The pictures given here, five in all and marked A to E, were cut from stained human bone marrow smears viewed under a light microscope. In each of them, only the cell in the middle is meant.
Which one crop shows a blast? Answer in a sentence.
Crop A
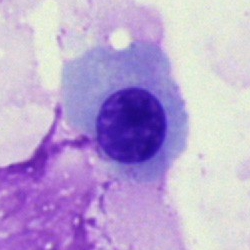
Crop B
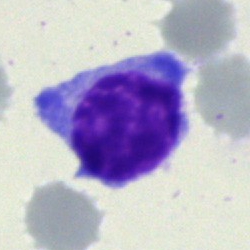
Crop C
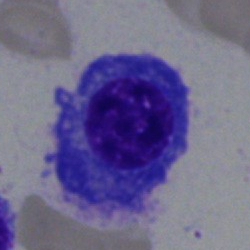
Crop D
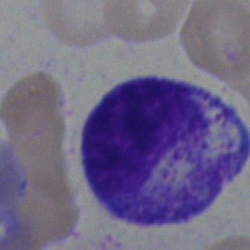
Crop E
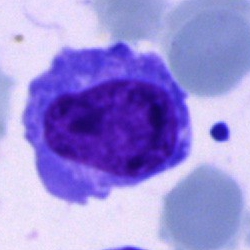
The crop carrying a blast at the center is crop E.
